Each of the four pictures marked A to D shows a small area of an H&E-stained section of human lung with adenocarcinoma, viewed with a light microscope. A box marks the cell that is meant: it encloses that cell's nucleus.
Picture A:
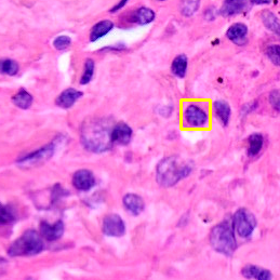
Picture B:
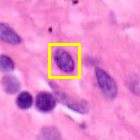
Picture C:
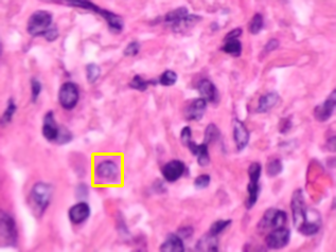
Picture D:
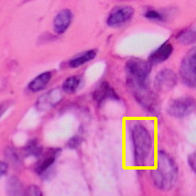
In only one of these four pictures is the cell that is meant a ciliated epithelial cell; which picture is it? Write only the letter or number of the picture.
D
